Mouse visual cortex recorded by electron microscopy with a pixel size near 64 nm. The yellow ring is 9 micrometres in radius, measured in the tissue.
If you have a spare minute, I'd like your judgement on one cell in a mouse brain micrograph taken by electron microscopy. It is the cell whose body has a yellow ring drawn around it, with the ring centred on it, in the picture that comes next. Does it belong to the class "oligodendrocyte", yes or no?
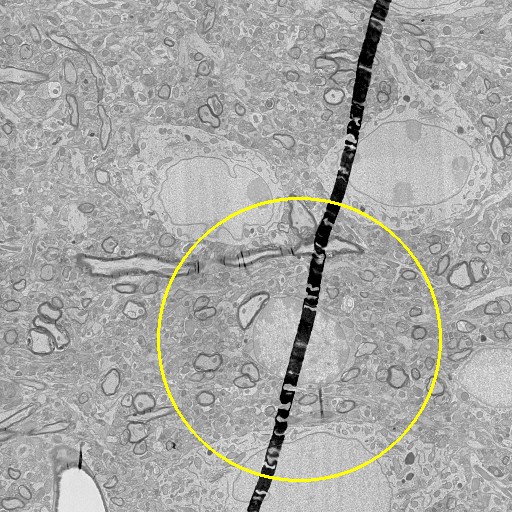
Yes, it belongs to that class.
